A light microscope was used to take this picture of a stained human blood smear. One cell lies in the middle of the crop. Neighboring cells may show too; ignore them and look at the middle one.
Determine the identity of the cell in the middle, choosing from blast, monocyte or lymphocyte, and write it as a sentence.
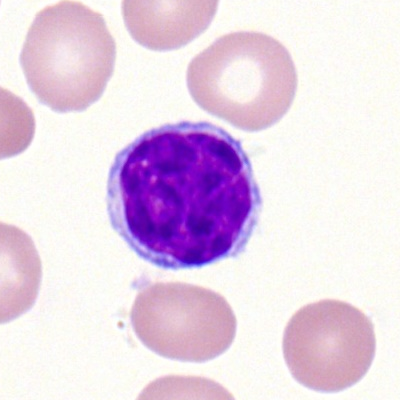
Present in the middle of the crop is a lymphocyte.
